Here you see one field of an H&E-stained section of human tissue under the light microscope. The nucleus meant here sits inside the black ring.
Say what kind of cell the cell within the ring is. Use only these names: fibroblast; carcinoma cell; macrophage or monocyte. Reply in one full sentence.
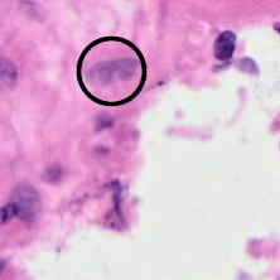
Within the stained tissue, the cell within the ring is a fibroblast.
